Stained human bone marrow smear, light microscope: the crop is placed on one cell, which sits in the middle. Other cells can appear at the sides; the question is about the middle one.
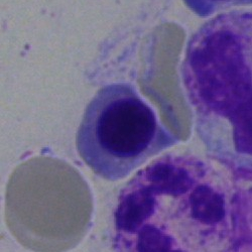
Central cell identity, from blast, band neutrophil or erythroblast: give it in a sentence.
The middle position in this crop is taken by an erythroblast.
